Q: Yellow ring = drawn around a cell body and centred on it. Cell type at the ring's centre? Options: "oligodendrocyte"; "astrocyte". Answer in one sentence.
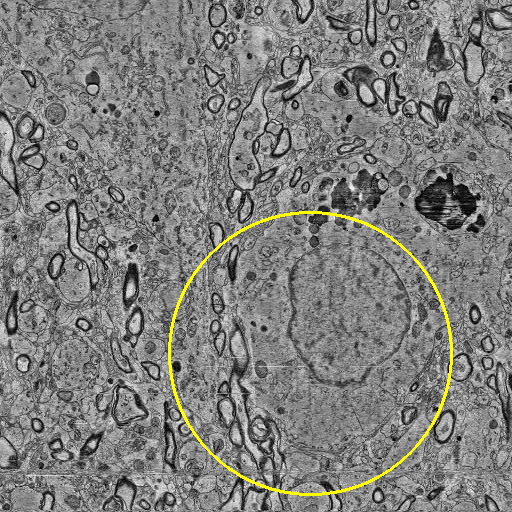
Centred in the ring is an astrocyte.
